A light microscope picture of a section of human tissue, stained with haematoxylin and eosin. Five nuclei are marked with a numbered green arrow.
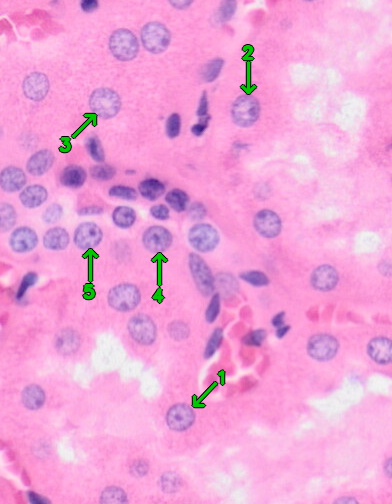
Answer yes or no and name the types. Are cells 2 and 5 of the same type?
No, cell 2 should be called a proximal tubule cell, and cell 5 should be called a collecting duct cell.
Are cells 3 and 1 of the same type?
Yes, both cells 3 and 1 are proximal tubule cells.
